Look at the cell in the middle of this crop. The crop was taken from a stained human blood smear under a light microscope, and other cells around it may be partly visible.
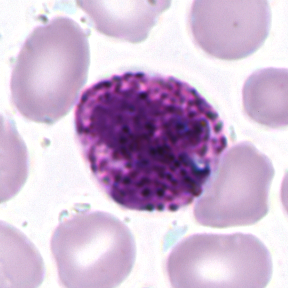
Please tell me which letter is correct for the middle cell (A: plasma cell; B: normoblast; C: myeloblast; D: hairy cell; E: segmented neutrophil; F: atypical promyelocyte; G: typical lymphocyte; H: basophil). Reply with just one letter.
H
